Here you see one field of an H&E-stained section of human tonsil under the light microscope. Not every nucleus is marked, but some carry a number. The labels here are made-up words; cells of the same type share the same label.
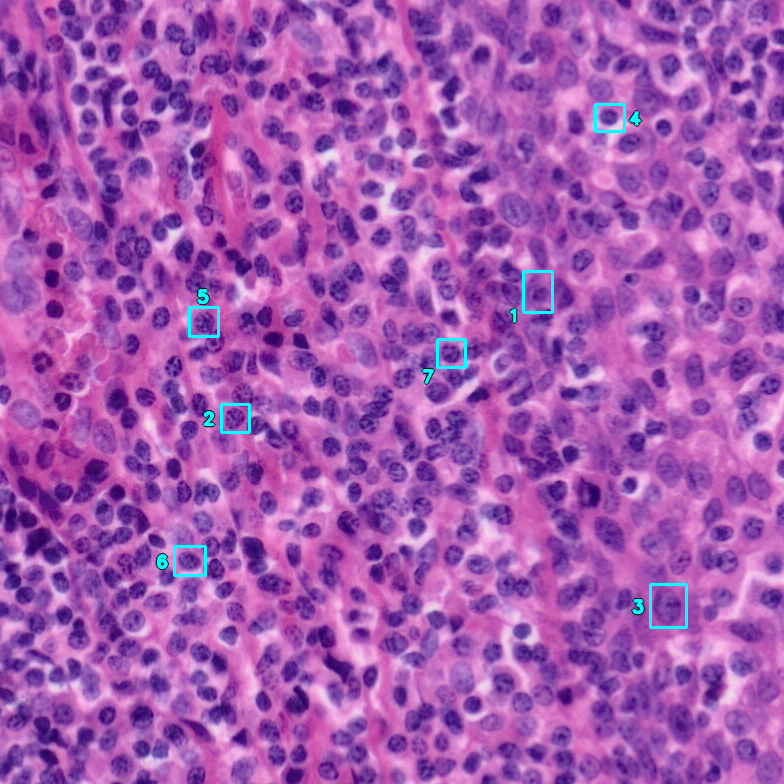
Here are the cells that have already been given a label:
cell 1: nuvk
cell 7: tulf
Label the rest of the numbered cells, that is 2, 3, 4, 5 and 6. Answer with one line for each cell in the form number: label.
2: tulf
3: nuvk
4: nuvk
5: tulf
6: tulf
